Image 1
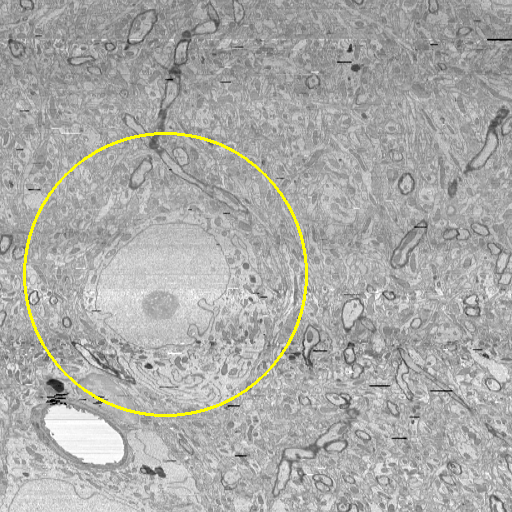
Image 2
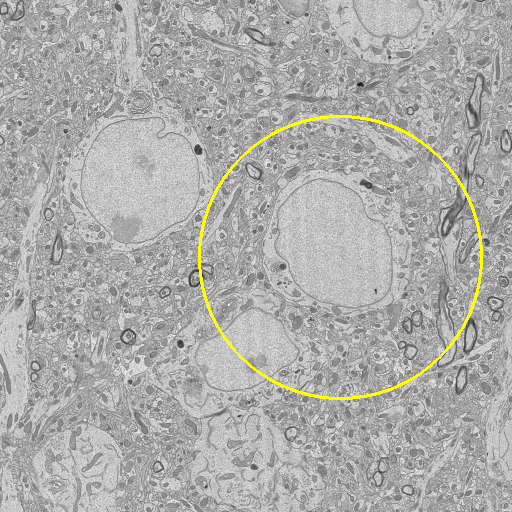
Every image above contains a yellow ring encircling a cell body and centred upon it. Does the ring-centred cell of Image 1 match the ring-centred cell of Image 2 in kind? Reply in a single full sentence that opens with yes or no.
Yes, the cell at the ring's centre in Image 1 is the same kind as that in Image 2.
